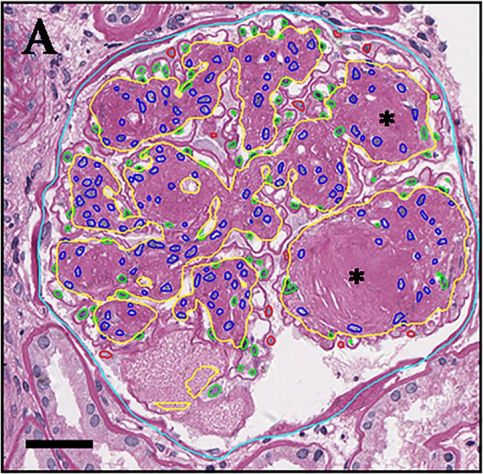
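A glomerulus enclosed by Bowman capsule, its tuft largely replaced by large rounded nodules of pale pink mesangial matrix, one with a layered lamellar texture. Mesangial cell nuclei are scattered within and crowded at the rims of the nodules, while endothelial cells line the few narrow capillary loops between them and podocytes sit sparsely on the outer surface.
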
